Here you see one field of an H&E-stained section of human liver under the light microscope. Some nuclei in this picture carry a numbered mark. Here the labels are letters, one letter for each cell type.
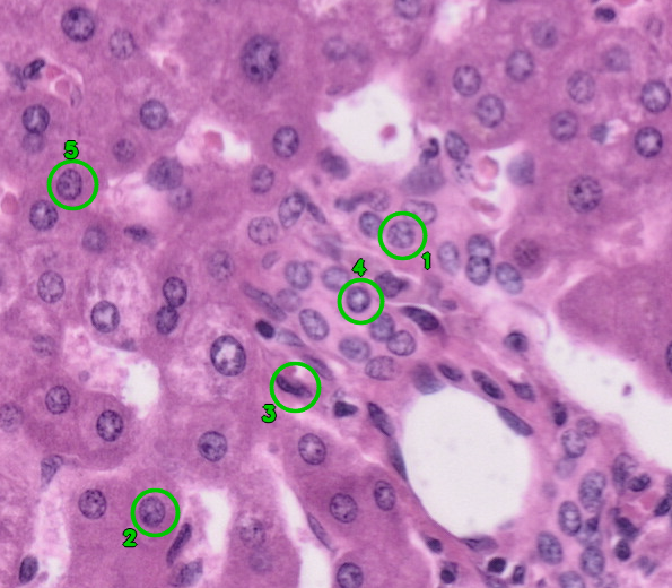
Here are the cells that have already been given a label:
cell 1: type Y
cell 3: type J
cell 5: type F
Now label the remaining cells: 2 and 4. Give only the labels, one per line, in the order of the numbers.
type F
type Y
